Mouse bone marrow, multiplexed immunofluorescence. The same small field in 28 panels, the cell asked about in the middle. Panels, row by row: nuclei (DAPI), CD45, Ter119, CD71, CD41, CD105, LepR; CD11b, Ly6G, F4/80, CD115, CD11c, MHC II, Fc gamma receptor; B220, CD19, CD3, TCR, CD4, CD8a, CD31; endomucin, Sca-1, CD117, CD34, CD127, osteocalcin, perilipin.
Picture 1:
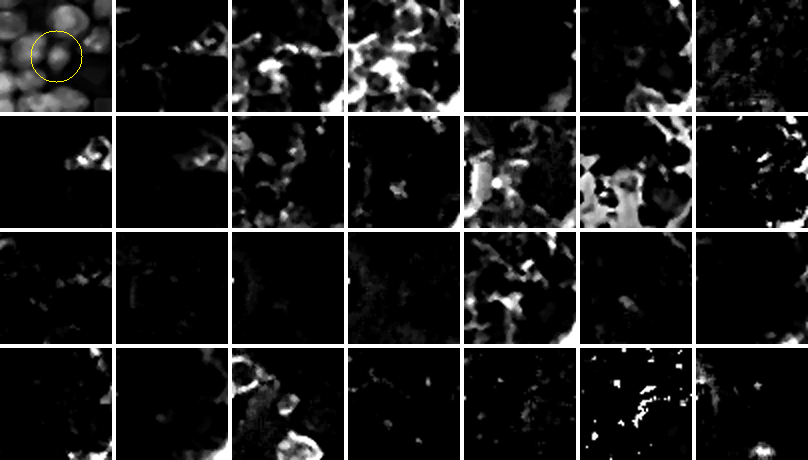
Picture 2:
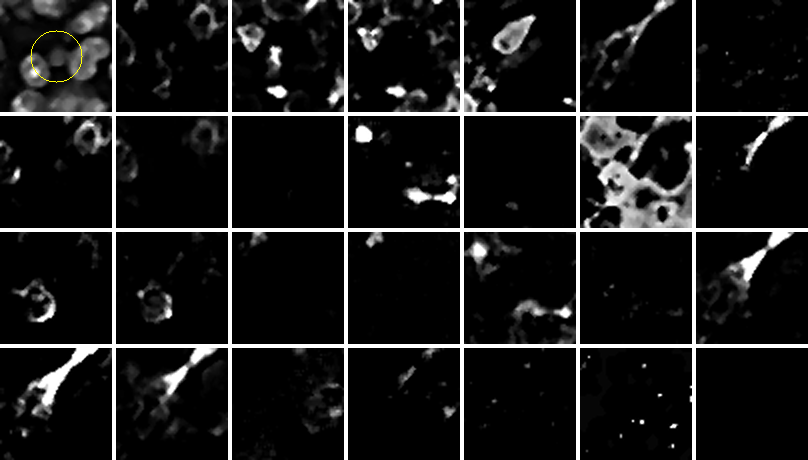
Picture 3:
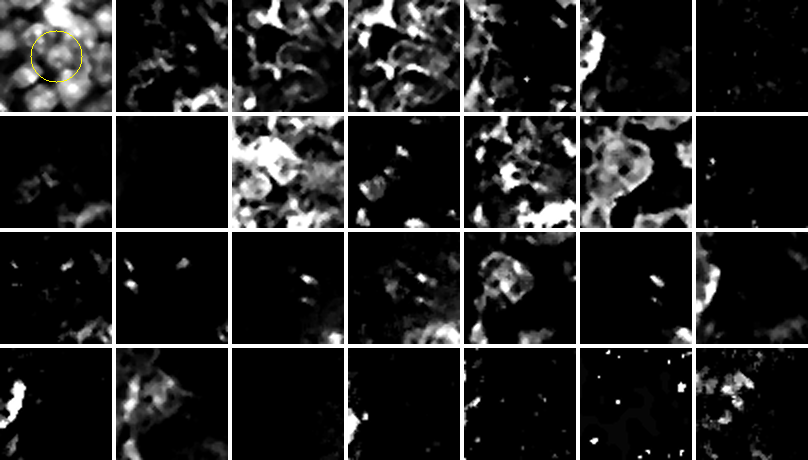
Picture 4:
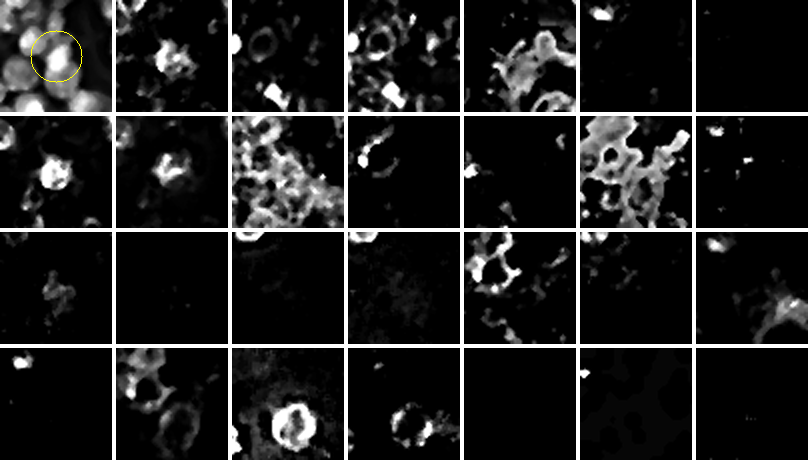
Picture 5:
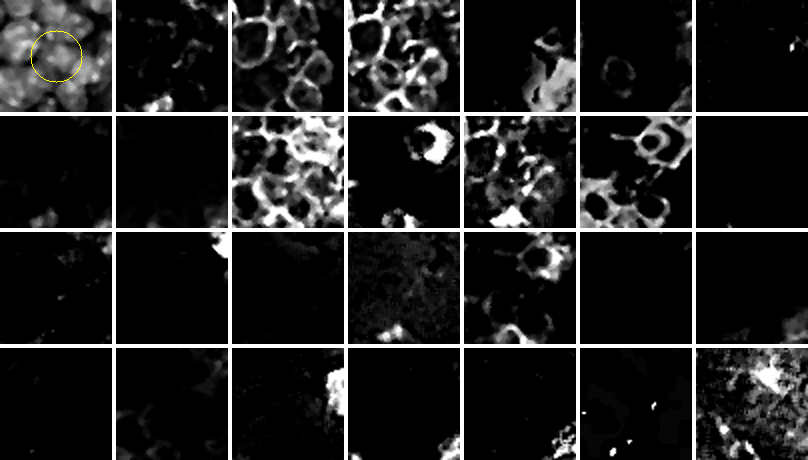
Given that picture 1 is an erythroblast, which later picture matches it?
5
